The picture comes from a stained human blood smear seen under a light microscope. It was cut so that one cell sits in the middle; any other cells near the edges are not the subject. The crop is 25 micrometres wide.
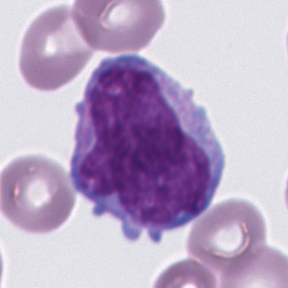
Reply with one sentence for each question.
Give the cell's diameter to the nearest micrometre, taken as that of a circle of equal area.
It measures about 14 micrometres across.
